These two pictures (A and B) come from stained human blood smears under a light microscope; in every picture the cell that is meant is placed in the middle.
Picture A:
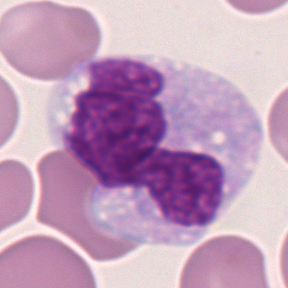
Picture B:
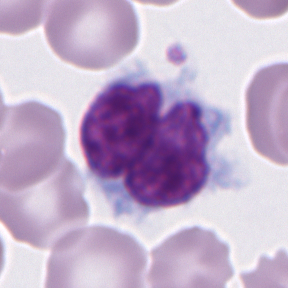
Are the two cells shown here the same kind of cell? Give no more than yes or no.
no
